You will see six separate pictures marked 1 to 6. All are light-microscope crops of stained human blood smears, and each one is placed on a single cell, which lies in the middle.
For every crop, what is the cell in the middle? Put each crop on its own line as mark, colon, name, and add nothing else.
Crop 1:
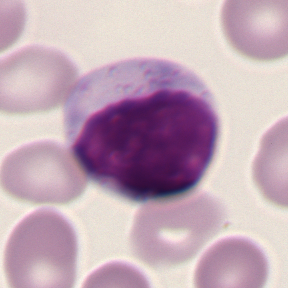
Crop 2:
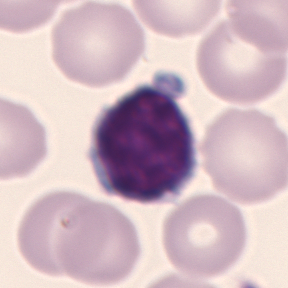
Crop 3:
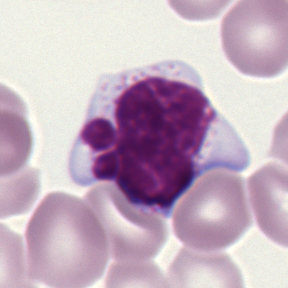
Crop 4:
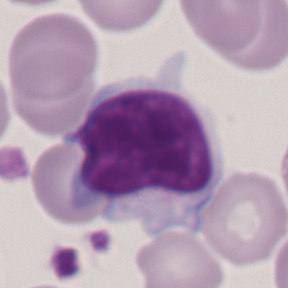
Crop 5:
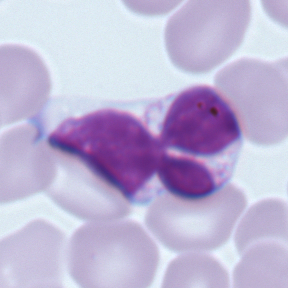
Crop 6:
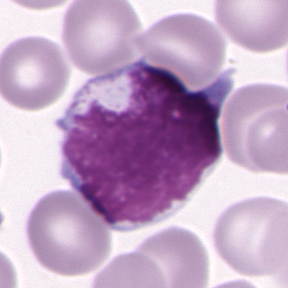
1: large granular lymphocyte
2: typical lymphocyte
3: large granular lymphocyte
4: typical lymphocyte
5: large granular lymphocyte
6: large granular lymphocyte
